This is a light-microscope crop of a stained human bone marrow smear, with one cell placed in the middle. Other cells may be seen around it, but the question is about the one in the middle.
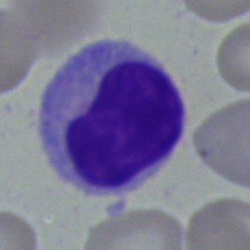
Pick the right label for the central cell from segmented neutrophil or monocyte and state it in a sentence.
Seen at the centre of the crop is a monocyte.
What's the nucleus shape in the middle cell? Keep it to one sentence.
One compact mass makes up the whole nucleus, round, oval or kidney-shaped.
